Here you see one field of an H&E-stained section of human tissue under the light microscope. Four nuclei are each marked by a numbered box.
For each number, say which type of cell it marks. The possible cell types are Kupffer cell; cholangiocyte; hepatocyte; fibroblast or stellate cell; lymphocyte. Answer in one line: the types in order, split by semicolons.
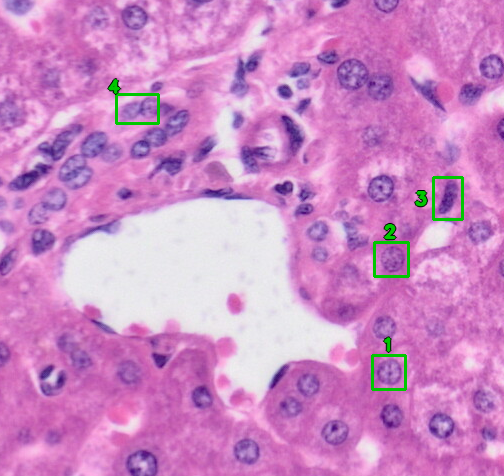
hepatocyte; hepatocyte; fibroblast or stellate cell; cholangiocyte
